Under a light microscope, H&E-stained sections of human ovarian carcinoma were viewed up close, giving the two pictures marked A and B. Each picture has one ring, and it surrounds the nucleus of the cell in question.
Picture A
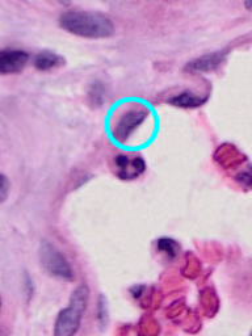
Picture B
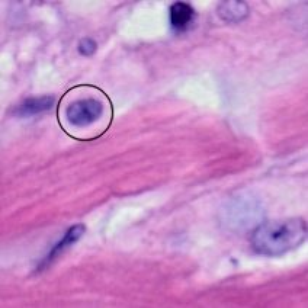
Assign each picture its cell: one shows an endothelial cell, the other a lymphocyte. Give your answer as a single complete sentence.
Picture B shows a lymphocyte, while picture A shows an endothelial cell.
